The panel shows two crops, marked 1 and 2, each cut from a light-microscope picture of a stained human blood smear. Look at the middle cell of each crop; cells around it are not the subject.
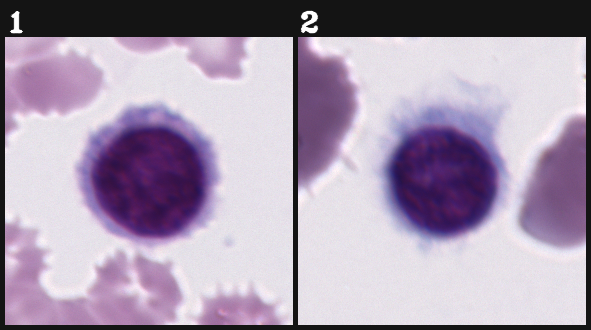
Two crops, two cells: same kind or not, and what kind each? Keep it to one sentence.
Yes, the two central cells, one per crop, are hairy cells.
